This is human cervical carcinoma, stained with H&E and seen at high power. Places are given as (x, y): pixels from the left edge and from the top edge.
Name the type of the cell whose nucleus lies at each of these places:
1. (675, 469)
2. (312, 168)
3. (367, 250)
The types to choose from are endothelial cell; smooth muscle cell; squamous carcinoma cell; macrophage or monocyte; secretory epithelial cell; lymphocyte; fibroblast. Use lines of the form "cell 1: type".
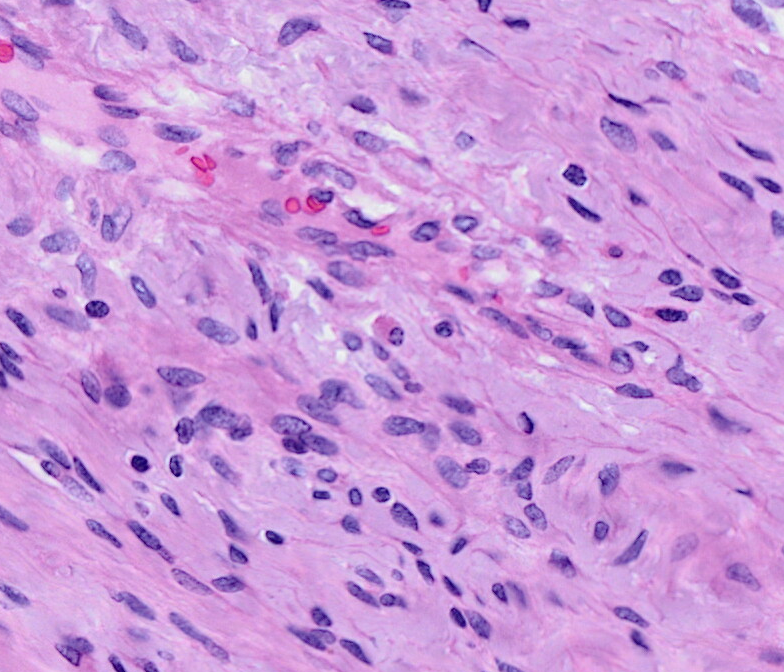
cell 1: fibroblast
cell 2: endothelial cell
cell 3: endothelial cell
